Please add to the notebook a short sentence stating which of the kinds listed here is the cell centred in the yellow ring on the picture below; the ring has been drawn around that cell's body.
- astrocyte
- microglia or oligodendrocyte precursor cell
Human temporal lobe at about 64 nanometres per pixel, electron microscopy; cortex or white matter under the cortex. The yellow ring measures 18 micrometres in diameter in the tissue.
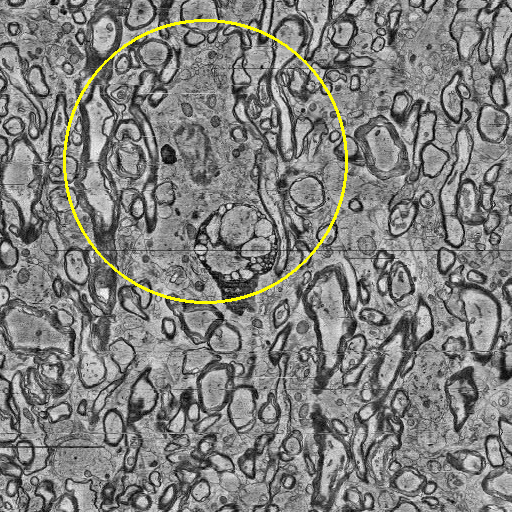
The cell centred in the yellow ring is an astrocyte.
